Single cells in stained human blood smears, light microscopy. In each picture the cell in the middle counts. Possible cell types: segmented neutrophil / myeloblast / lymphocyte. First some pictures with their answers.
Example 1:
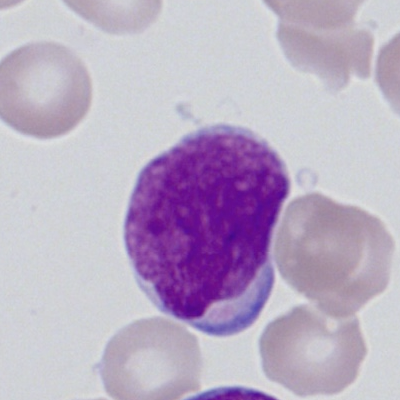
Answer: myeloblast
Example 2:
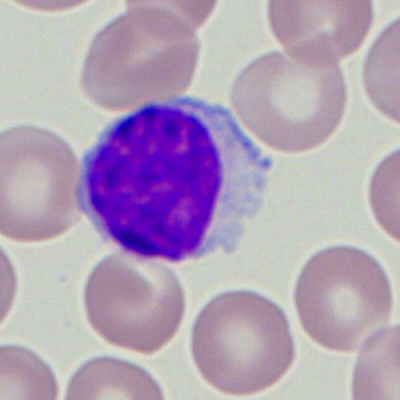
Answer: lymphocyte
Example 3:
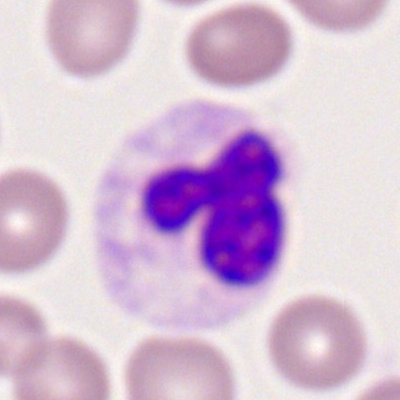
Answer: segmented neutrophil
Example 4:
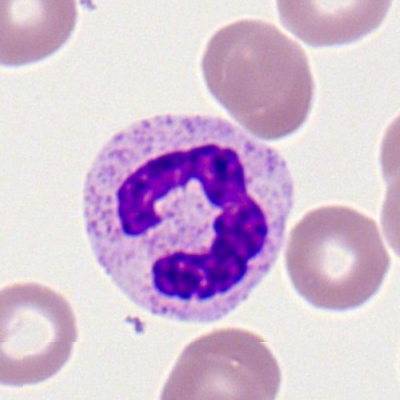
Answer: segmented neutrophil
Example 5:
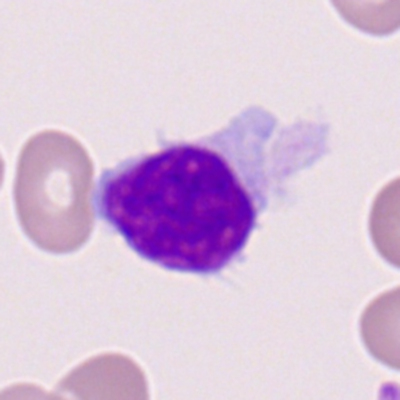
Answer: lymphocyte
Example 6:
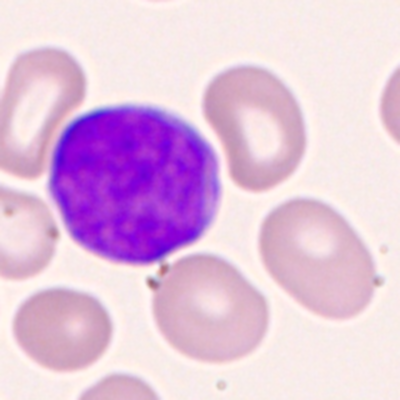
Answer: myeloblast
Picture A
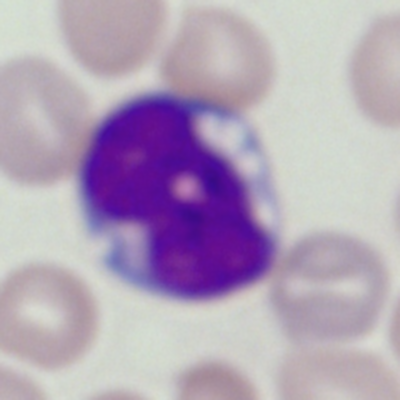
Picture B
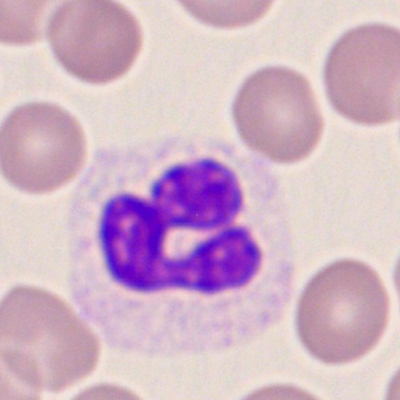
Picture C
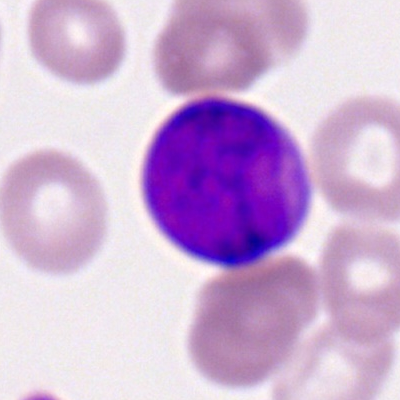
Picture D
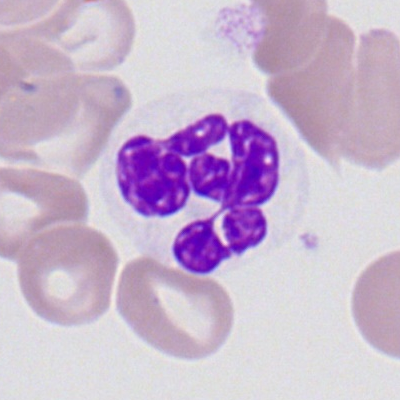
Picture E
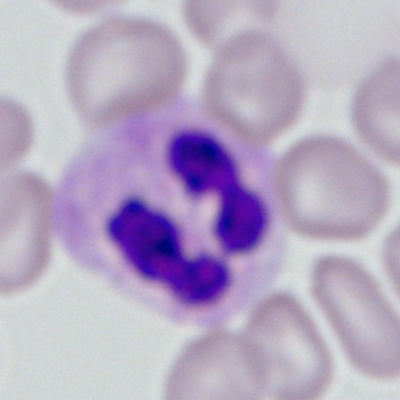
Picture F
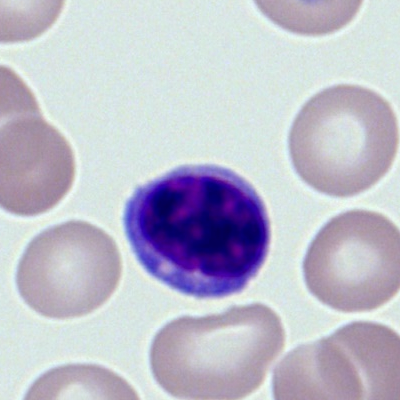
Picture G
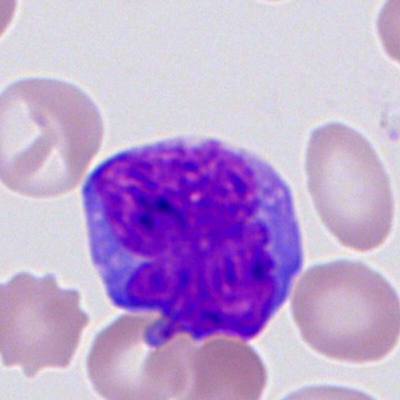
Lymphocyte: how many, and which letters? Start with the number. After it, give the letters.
1, namely F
